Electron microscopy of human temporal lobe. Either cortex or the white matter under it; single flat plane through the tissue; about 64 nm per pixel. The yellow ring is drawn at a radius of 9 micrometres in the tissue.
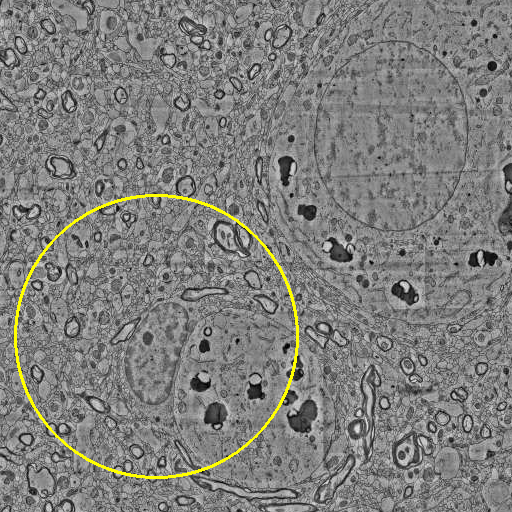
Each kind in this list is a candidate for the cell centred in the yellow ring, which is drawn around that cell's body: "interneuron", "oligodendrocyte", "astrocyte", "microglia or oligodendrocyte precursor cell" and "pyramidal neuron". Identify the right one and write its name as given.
oligodendrocyte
